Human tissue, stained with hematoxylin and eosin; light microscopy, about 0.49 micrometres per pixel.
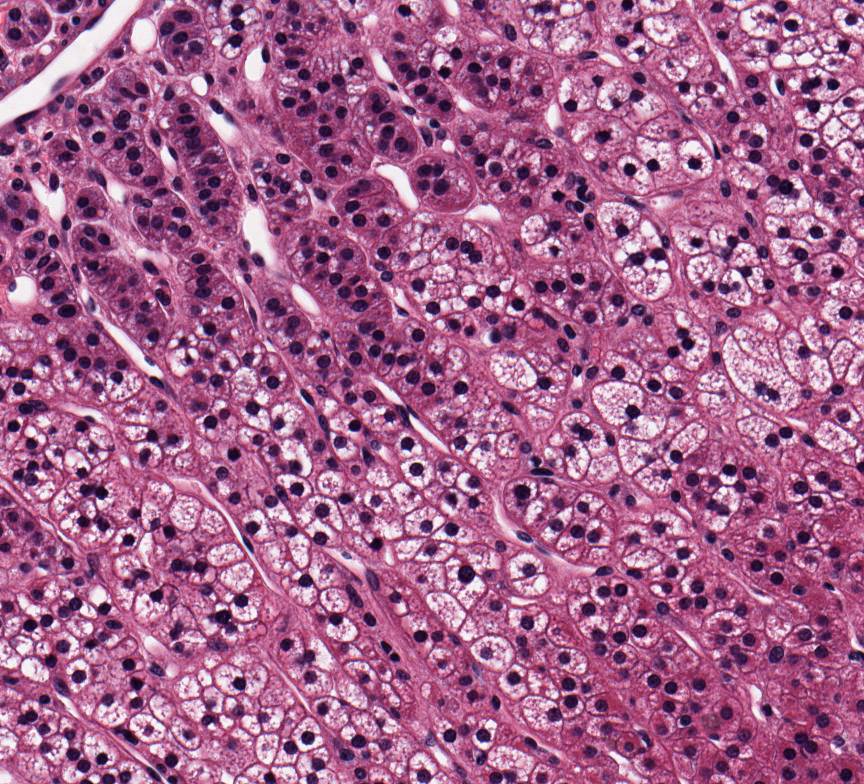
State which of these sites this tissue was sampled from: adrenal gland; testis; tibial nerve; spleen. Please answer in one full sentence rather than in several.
This section represents tissue sampled from the adrenal gland.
